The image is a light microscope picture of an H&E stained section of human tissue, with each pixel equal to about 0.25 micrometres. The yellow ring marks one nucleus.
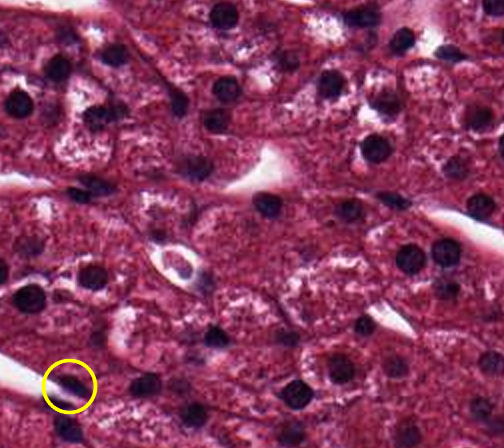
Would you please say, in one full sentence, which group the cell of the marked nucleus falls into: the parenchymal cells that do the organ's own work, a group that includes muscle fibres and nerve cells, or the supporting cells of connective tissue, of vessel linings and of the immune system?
The marked nucleus is that of a supporting cell.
